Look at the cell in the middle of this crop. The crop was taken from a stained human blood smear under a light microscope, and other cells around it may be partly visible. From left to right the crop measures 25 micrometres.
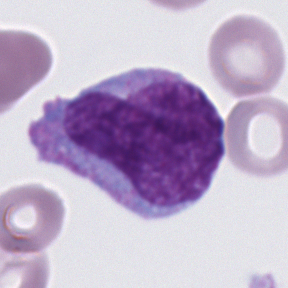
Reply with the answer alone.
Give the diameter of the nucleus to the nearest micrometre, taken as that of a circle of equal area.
11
